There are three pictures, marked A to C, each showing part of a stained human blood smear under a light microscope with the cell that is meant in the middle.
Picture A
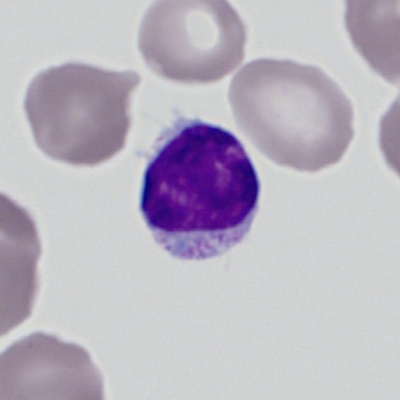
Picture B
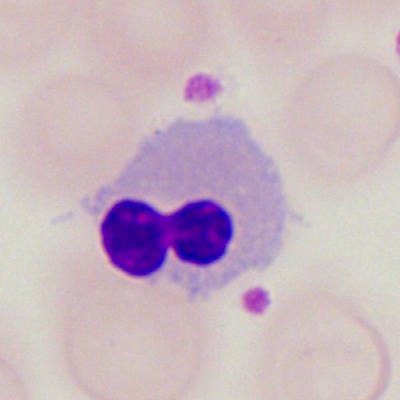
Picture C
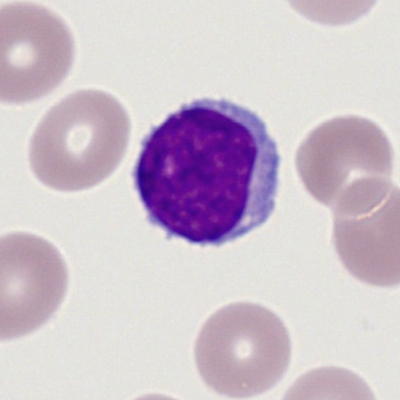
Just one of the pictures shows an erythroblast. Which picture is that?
B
